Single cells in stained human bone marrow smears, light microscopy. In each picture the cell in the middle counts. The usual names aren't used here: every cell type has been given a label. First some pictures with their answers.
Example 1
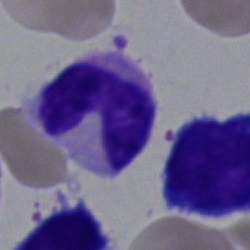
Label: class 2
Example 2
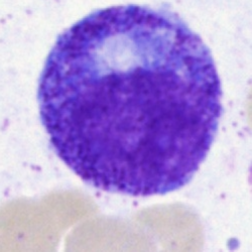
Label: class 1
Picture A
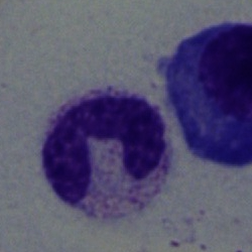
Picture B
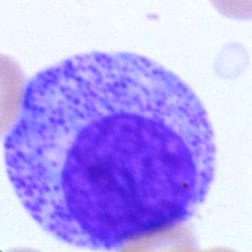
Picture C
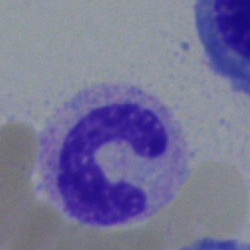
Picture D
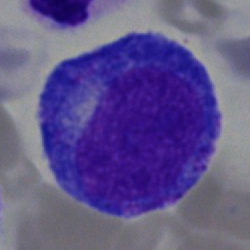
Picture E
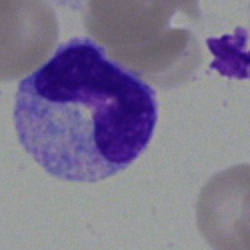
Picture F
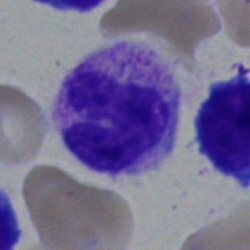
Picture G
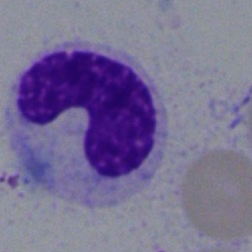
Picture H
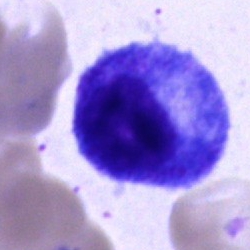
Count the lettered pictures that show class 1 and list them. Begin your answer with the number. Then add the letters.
3, namely B, D, H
